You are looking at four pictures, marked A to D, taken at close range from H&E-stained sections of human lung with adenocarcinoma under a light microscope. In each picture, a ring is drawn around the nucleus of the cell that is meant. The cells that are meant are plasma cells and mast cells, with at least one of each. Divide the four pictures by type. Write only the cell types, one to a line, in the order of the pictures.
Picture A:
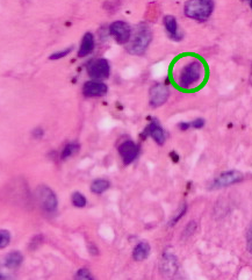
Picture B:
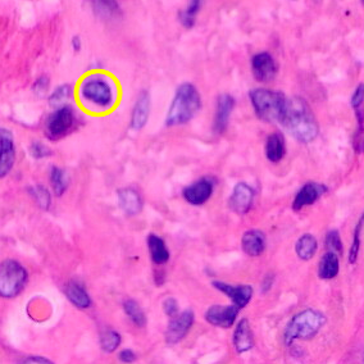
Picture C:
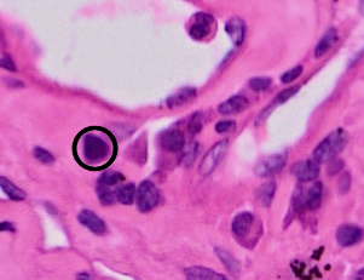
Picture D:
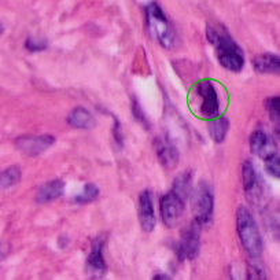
plasma cell
mast cell
plasma cell
plasma cell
